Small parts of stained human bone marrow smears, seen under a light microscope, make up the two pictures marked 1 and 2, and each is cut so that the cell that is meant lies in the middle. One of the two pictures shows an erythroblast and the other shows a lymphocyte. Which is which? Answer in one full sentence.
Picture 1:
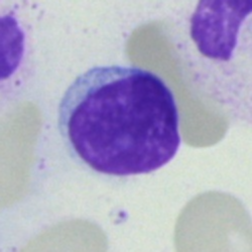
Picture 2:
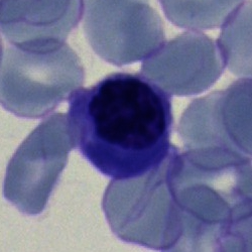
It is picture 1 that shows a lymphocyte, and picture 2 that shows an erythroblast.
